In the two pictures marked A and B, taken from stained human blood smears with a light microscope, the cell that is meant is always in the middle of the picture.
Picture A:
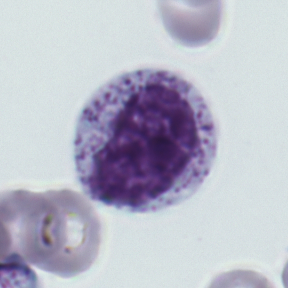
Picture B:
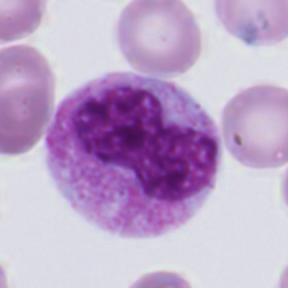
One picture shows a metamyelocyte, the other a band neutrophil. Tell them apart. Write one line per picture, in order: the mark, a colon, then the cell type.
A: metamyelocyte
B: band neutrophil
